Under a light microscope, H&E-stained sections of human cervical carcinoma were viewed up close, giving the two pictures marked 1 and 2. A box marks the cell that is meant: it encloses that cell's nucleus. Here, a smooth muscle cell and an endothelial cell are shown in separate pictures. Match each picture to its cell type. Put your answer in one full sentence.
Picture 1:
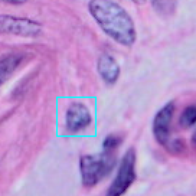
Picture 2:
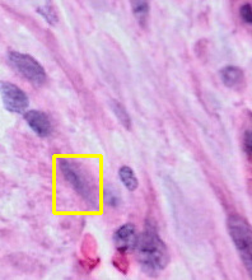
Picture 1 is of a smooth muscle cell, and picture 2 is of an endothelial cell.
